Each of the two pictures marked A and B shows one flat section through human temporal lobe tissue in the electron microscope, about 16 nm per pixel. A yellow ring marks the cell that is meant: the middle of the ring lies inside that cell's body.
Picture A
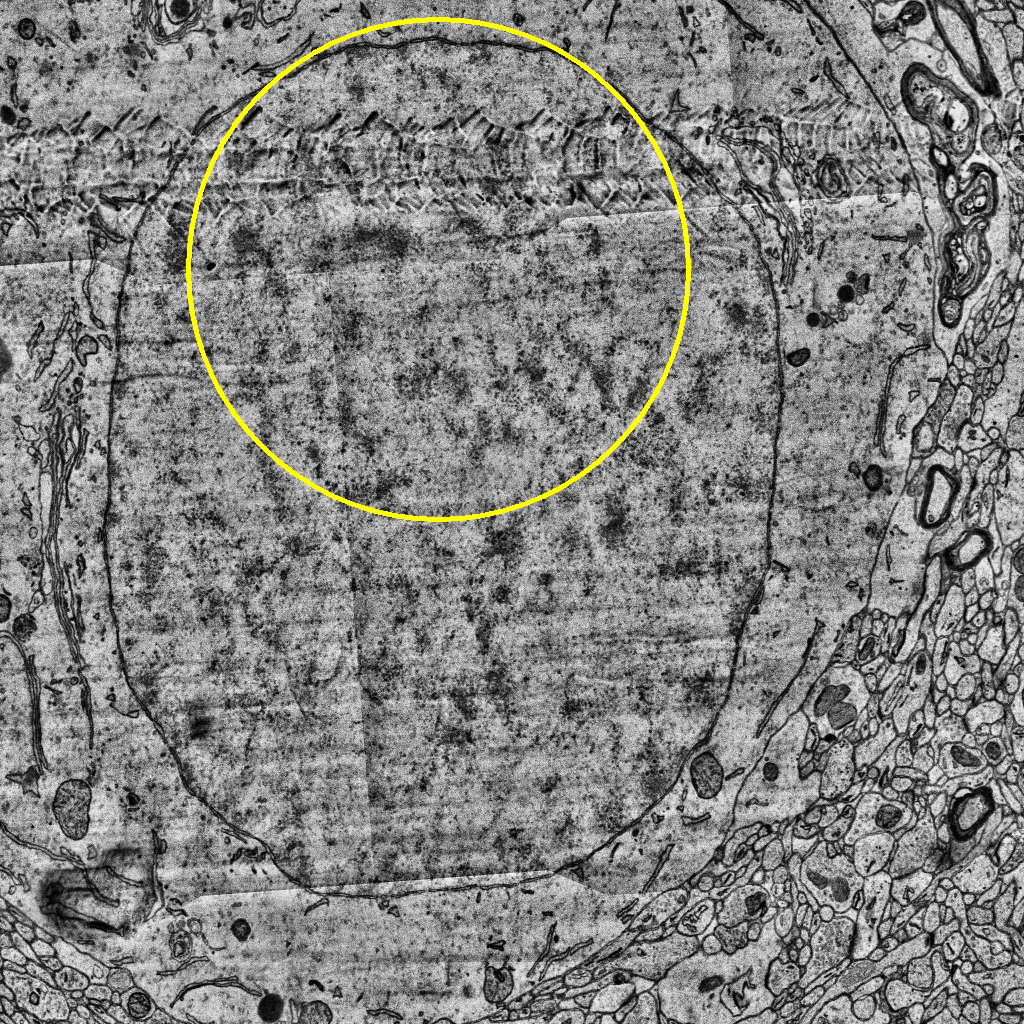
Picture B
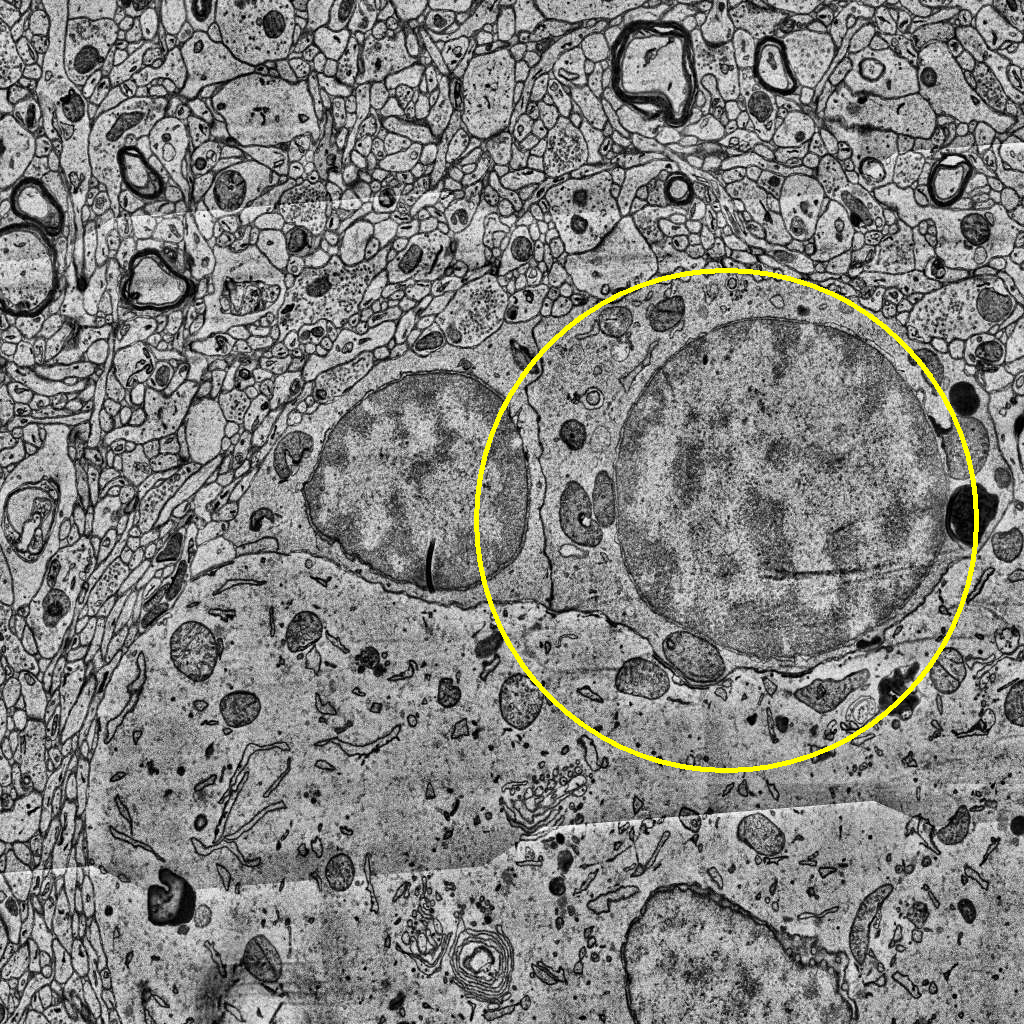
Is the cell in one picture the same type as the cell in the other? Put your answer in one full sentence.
No, picture A shows a pyramidal neuron and picture B shows an oligodendrocyte.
